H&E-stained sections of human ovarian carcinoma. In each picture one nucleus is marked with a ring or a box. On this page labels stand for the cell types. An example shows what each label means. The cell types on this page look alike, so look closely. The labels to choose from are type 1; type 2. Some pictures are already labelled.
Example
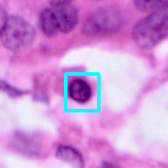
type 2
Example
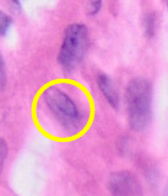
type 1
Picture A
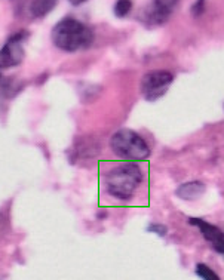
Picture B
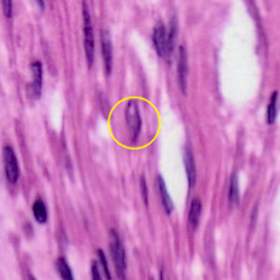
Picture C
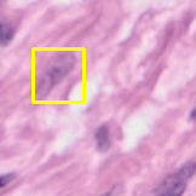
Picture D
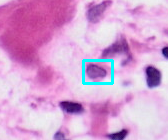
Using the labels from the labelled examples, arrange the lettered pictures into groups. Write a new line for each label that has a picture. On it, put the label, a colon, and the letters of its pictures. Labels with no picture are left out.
type 1: B, C
type 2: A, D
